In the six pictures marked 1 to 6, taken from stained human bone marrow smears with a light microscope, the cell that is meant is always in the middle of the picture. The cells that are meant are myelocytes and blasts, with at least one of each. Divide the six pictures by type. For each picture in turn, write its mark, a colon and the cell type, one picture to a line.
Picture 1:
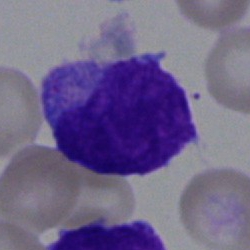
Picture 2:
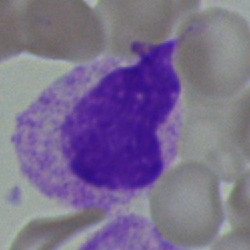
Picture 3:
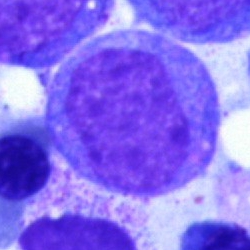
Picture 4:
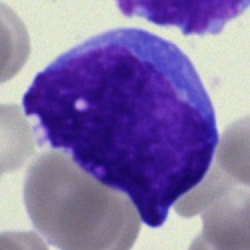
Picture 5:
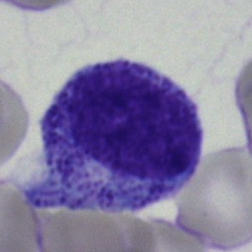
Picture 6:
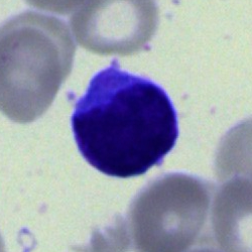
1: blast
2: myelocyte
3: blast
4: blast
5: myelocyte
6: blast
